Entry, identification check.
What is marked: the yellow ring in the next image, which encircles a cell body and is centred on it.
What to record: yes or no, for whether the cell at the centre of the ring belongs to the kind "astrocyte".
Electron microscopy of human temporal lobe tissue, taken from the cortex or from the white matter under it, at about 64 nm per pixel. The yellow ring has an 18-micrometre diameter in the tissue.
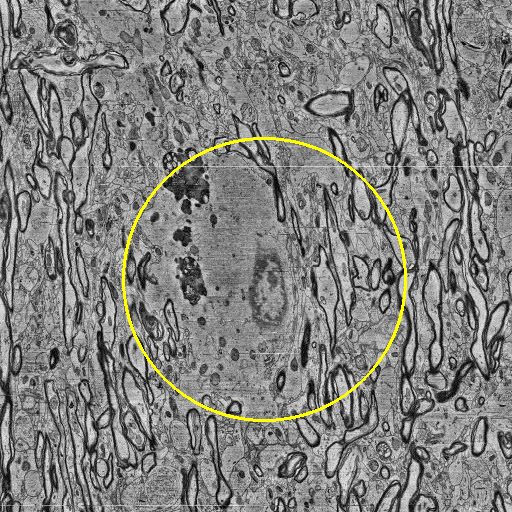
Yes, it belongs to that kind.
